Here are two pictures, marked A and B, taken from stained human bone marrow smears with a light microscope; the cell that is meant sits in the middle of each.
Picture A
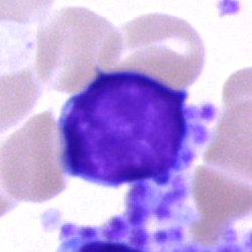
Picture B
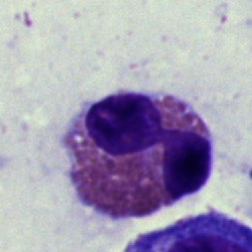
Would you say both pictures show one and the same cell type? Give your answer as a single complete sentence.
No; the cell in picture A is a lymphocyte, while the one in picture B is an eosinophil.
